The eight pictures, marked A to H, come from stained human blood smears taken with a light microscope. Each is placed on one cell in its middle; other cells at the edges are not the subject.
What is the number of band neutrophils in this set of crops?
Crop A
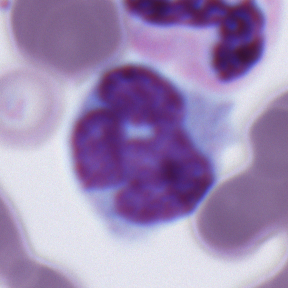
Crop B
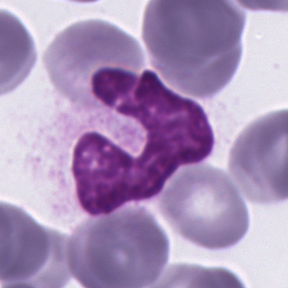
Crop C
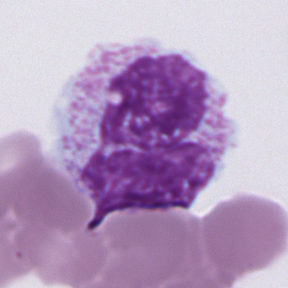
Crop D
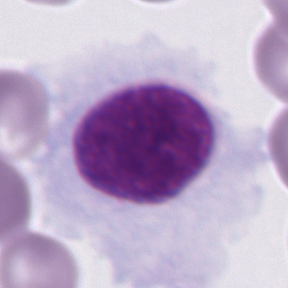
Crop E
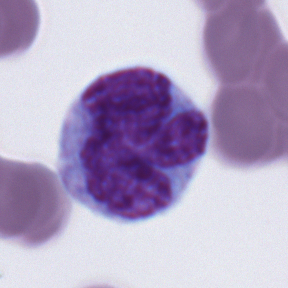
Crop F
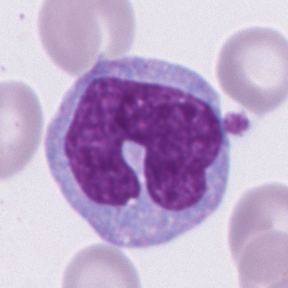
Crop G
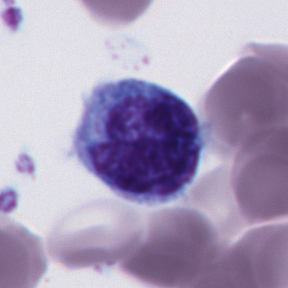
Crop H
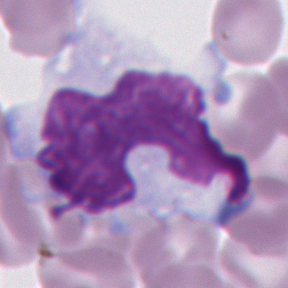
2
